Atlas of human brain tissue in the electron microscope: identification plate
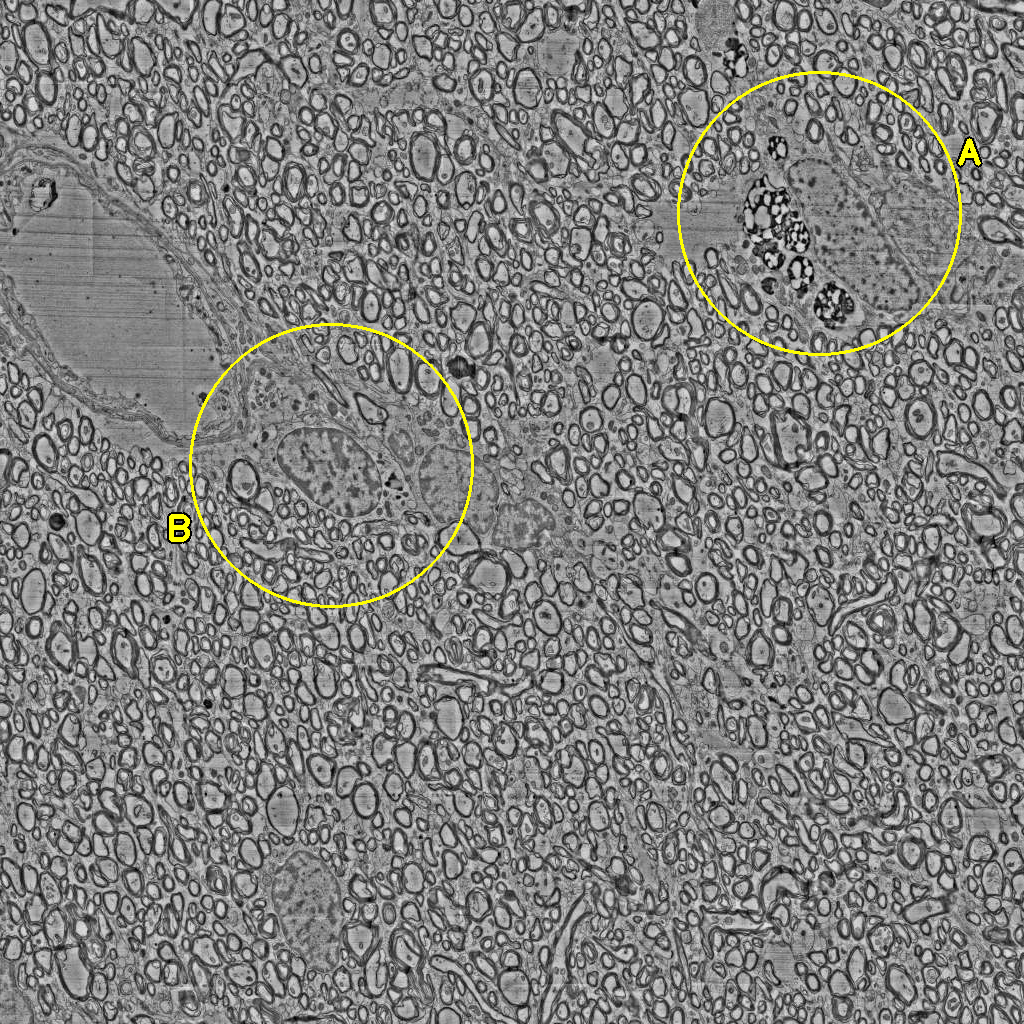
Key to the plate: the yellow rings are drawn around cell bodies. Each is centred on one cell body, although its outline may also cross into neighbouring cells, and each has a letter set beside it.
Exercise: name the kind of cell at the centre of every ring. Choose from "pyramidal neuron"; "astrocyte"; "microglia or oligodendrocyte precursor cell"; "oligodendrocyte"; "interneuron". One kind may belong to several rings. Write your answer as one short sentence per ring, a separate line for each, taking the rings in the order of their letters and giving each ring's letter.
The centre of ring A is occupied by an astrocyte.
The centre of ring B is occupied by a microglial cell or oligodendrocyte precursor cell.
